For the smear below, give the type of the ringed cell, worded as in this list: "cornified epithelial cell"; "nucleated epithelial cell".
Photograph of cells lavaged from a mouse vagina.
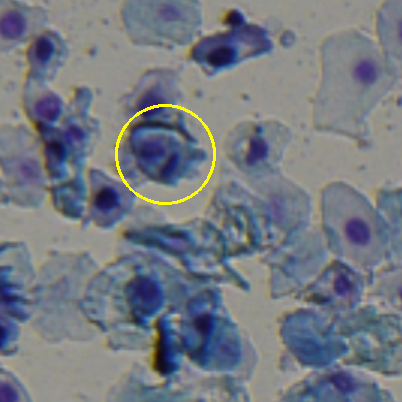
nucleated epithelial cell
